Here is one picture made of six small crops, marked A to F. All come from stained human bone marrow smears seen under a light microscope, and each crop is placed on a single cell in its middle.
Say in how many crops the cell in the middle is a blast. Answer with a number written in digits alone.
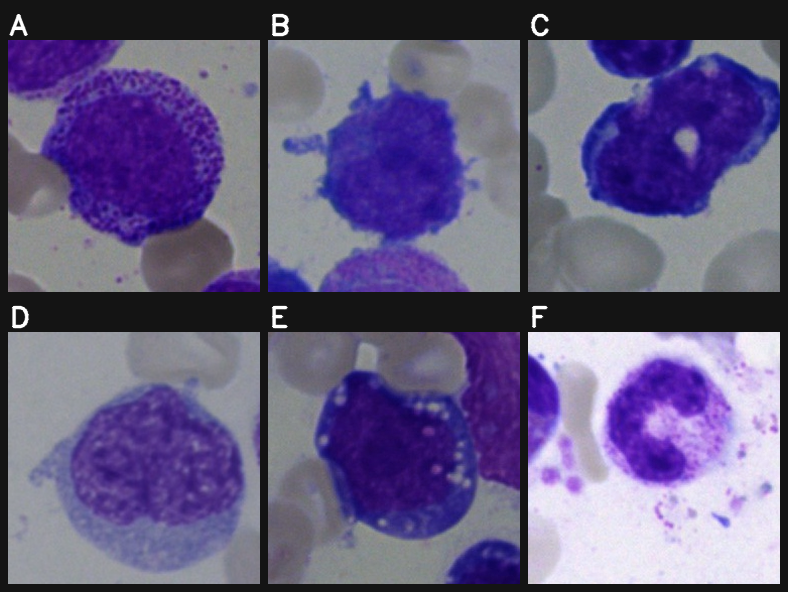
4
